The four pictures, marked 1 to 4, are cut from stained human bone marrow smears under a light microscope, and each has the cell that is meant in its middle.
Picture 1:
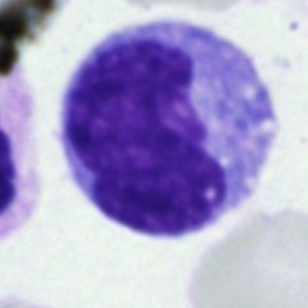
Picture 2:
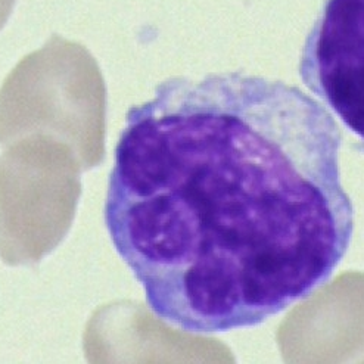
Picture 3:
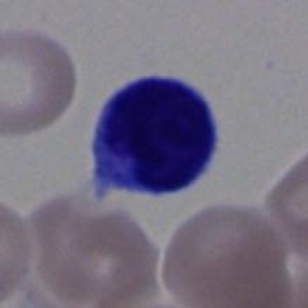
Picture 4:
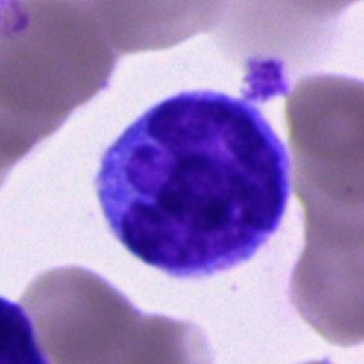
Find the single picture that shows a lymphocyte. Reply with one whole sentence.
The picture with the lymphocyte is 3.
